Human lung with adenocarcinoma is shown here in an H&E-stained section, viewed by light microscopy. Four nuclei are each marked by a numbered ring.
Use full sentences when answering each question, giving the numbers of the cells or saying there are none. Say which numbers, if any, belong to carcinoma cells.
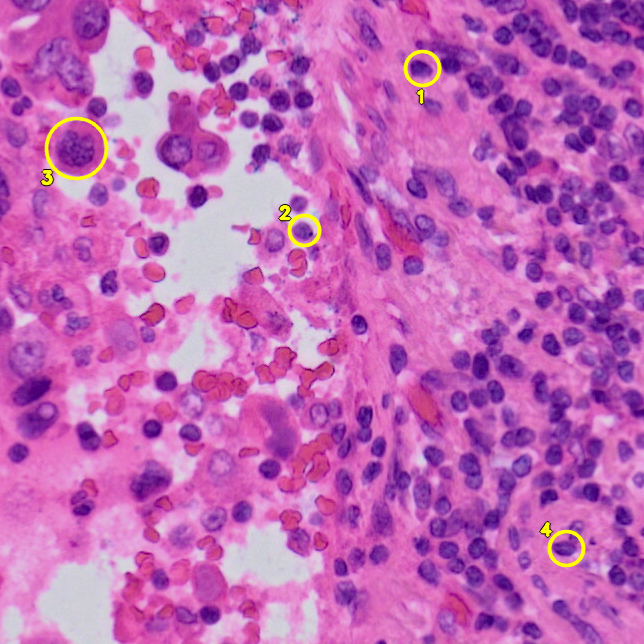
Cell 3 is a carcinoma cell, and that holds for no other numbered cell.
